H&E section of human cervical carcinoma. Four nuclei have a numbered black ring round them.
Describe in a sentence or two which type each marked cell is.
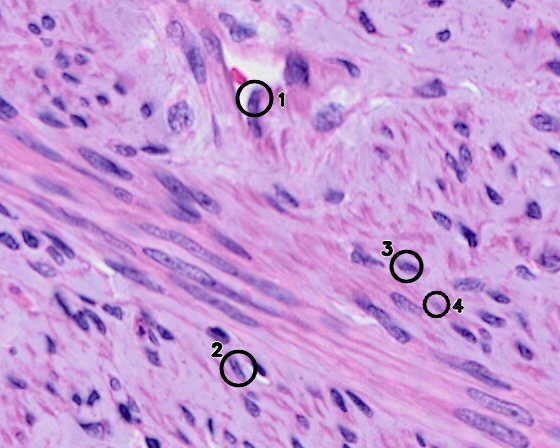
Cell 1 is an endothelial cell, cell 2 is a smooth muscle cell, cell 3 is a smooth muscle cell and cell 4 is a smooth muscle cell.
